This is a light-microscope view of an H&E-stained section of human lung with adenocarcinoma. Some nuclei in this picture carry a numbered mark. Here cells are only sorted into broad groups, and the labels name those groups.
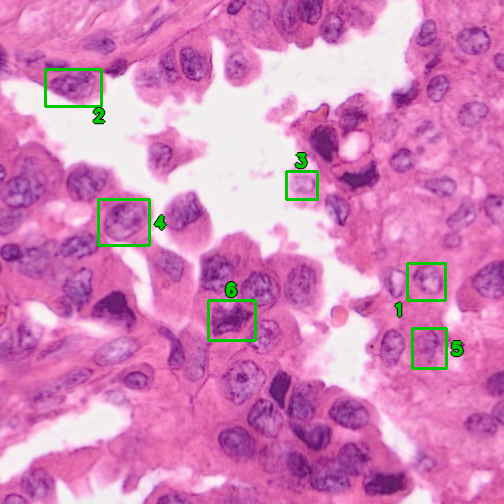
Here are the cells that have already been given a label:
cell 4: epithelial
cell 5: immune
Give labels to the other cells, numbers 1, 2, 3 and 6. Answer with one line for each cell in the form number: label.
1: immune
2: epithelial
3: immune
6: epithelial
